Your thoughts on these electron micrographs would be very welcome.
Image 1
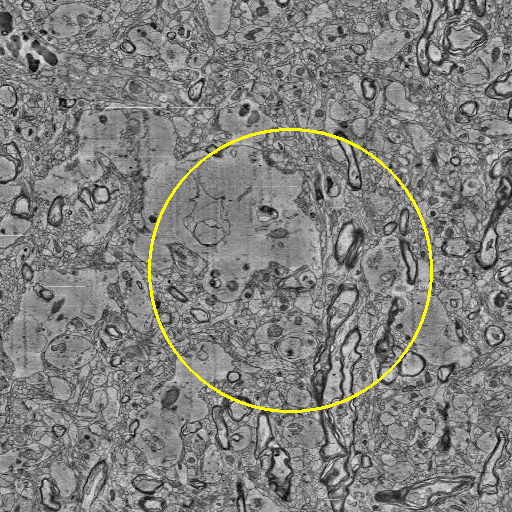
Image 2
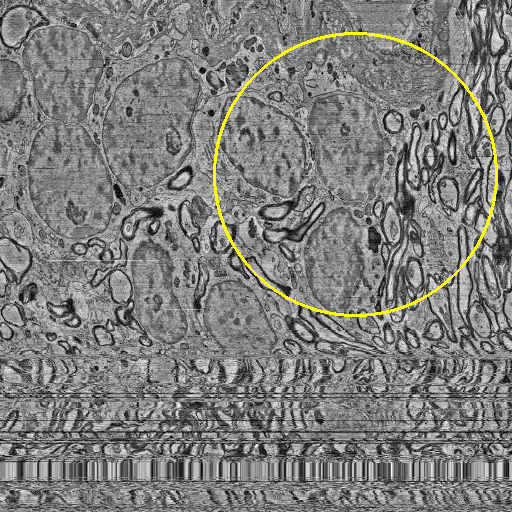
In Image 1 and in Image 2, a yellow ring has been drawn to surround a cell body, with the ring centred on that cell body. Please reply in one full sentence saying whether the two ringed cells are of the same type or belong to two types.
The ringed cells in Image 1 and Image 2 belong to two types.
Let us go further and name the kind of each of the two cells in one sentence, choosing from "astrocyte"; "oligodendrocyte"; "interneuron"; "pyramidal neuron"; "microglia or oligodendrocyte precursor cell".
The ring of the first picture is on a microglial cell or oligodendrocyte precursor cell, the ring of the second on an oligodendrocyte.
